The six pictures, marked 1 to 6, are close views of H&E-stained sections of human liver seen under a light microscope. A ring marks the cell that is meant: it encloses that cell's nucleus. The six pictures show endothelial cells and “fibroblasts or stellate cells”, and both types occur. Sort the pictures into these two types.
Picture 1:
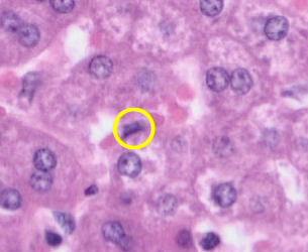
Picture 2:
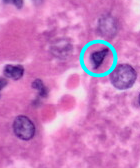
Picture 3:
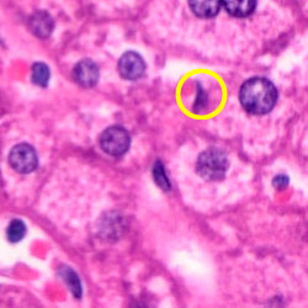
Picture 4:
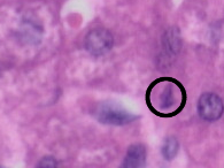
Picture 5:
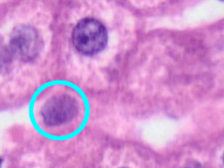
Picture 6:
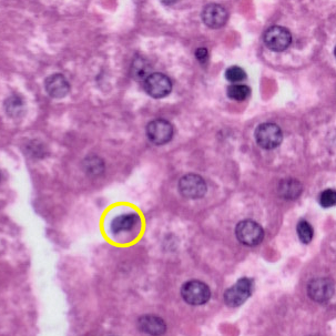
1: fibroblast or stellate cell
2: fibroblast or stellate cell
3: endothelial cell
4: fibroblast or stellate cell
5: endothelial cell
6: endothelial cell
